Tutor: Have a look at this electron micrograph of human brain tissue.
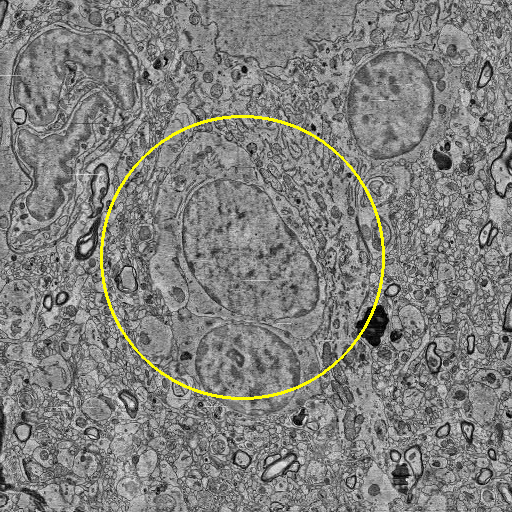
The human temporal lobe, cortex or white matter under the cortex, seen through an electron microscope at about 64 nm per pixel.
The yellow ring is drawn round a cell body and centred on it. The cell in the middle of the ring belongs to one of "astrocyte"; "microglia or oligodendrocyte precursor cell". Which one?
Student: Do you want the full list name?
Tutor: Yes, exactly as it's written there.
microglia or oligodendrocyte precursor cell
